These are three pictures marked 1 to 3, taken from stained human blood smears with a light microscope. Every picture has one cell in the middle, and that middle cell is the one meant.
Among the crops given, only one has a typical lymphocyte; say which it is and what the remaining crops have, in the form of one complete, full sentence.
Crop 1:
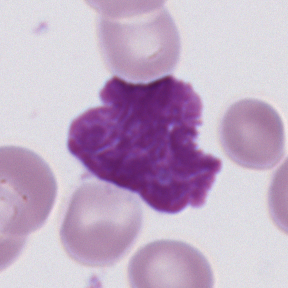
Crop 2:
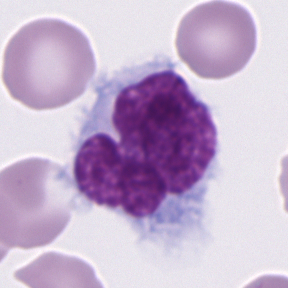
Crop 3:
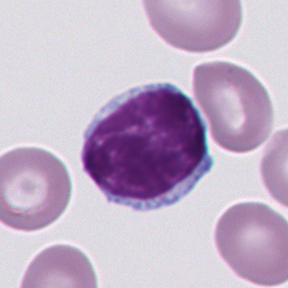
Crop 3 is identified as a typical lymphocyte, while crop 1 is a smudge cell and crop 2 is a hairy cell.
